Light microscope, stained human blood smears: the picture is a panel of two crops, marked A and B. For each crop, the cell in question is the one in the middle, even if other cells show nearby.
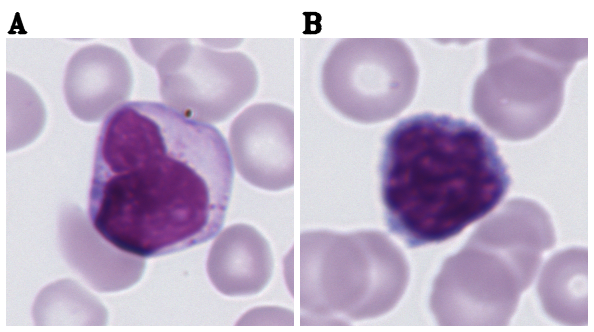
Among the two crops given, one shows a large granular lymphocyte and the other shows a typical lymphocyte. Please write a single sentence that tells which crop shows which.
The cell of crop A is a large granular lymphocyte; that of crop B is a typical lymphocyte.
